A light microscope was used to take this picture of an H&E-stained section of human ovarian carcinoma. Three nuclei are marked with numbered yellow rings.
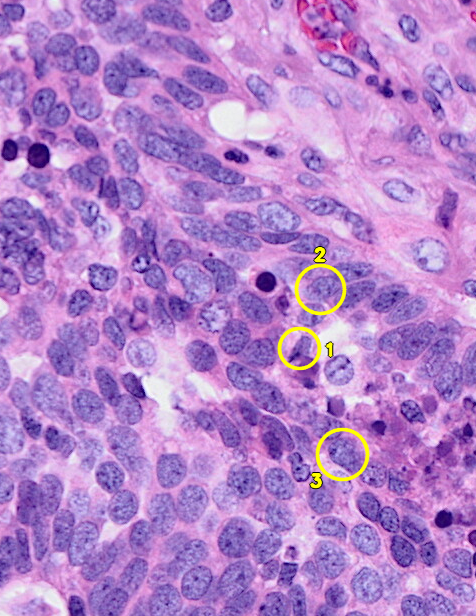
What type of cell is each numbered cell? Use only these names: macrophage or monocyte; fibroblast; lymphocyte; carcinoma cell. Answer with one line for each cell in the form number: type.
1: macrophage or monocyte
2: carcinoma cell
3: carcinoma cell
